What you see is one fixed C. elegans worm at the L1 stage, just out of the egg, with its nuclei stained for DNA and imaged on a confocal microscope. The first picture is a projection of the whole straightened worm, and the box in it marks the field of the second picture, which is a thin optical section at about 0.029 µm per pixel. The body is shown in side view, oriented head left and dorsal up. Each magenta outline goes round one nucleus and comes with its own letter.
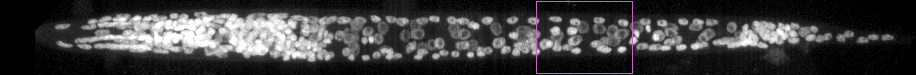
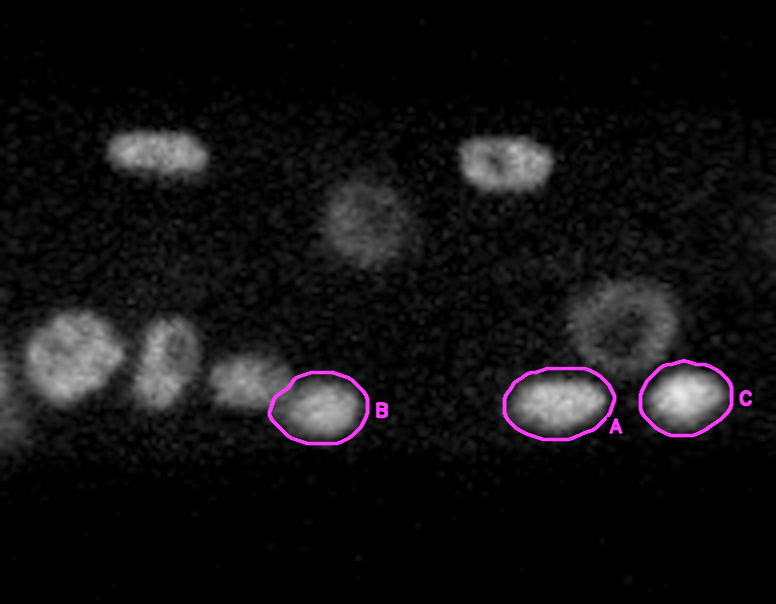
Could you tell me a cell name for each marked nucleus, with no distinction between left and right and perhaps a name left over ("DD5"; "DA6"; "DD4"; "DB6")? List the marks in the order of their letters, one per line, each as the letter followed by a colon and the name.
A: DB6
B: DD4
C: DA6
